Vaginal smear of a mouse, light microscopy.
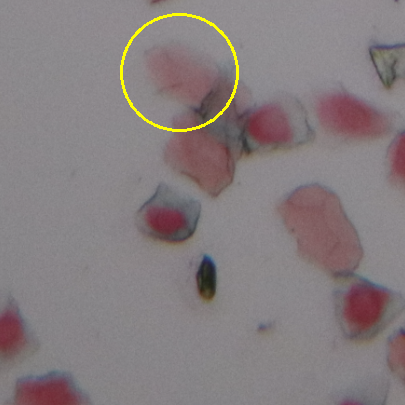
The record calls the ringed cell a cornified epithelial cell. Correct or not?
Correct; it is a cornified epithelial cell.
